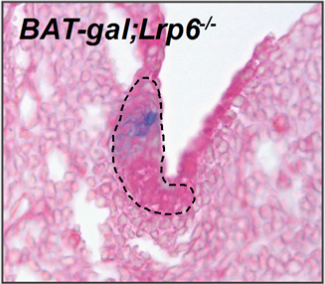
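The bud is a narrow, compact cluster of densely packed pink cells lying beside a cleft in the surface. Only a small patch of blue stain is seen near its upper part; most cells are pink. The surrounding mesenchyme is made of loosely arranged, rounded cells with pale spaces between them.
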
